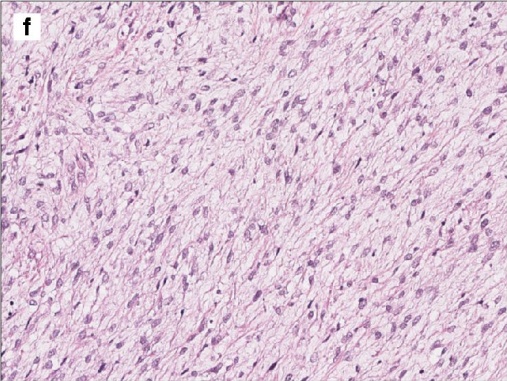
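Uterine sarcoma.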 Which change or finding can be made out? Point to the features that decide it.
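Elongated spindle-shaped nuclei run in a common direction. The background stroma is pale, loose and wispy.
Answer: fibromyxoid spindle cell proliferations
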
